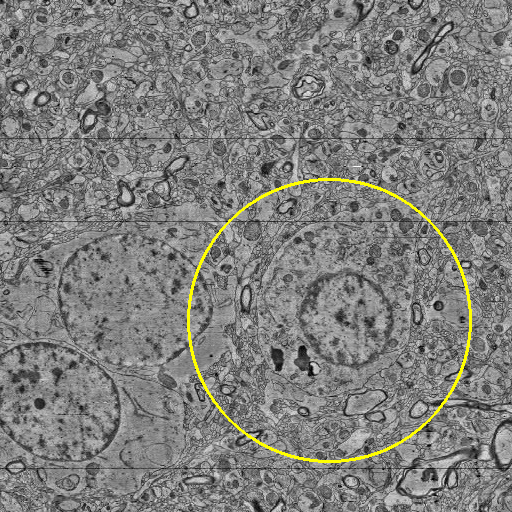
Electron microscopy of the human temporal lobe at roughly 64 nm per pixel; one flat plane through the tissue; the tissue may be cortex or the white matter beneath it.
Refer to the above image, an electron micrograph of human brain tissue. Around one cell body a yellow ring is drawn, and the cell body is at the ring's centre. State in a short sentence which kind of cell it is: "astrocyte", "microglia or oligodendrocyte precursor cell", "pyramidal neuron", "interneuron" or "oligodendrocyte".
The centre of the ring falls on an interneuron.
